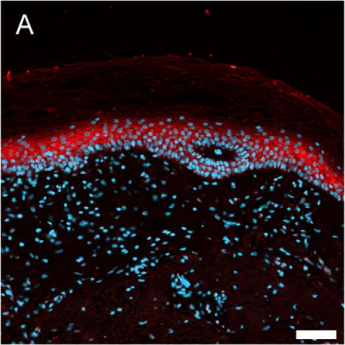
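Red staining forms a bright band through the suprabasal epidermis, while the lowest row of nuclei at the junction with the dermis stands out mostly blue. Above the living layers lies a faint, weakly stained cornified layer without nuclei.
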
